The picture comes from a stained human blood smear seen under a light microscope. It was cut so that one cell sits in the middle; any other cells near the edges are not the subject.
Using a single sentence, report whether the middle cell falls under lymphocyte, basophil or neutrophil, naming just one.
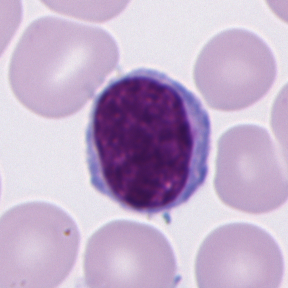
Among the cells in view, the one in the middle is a lymphocyte.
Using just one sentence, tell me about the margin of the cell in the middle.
The border of the cell is irregular, being either ragged or extended into projections.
